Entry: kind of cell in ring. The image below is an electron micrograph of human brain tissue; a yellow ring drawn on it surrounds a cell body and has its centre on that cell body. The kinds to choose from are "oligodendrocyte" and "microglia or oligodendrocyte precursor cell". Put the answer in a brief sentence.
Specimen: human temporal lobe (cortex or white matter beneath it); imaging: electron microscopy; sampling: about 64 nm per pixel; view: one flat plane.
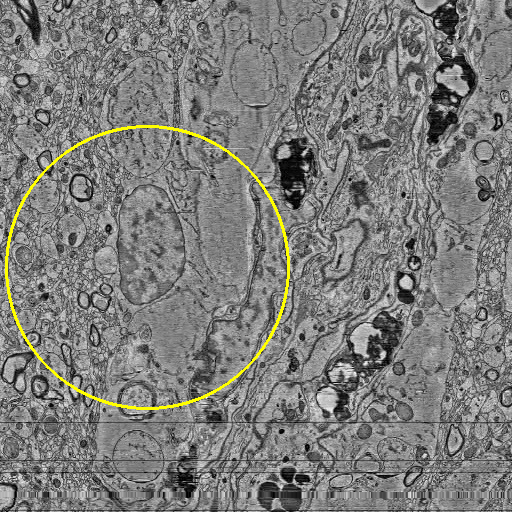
The ring has been drawn around a microglial cell or oligodendrocyte precursor cell.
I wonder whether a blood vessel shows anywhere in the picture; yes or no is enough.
Yes, a blood vessel is present in this picture.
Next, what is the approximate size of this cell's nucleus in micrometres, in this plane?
In this plane the nucleus is clearly longer than it is wide, at approximately 8 by 5 micrometres.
